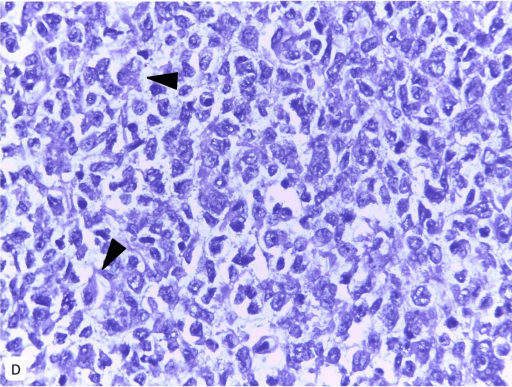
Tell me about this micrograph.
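This field shows loosely arranged, pleomorphic tumor cells with irregular, dark purple nuclei. Several cells have cytoplasm drawn out to one side into an elongated tail, with the nucleus sitting at the broad end, giving a tadpole shape. Other cells are rounded or angular, and their nuclei differ in size and outline. Pale spaces separate many of the cells from one another.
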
